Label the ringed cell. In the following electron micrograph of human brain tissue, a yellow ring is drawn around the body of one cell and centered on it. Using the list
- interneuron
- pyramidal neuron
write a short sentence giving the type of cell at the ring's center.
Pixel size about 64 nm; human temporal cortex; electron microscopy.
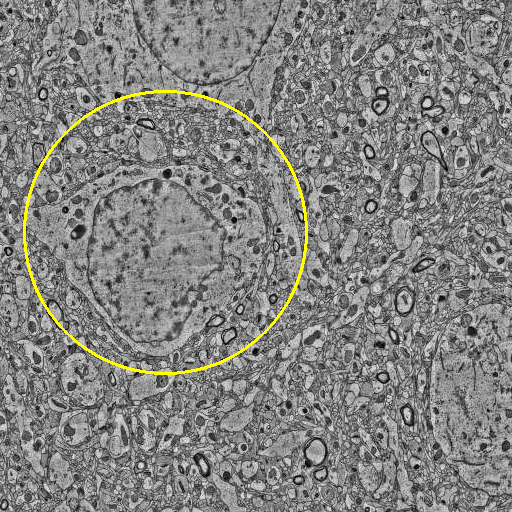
The cell body at the ring's center is that of an interneuron.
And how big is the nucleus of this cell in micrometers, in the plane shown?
In this plane, the nucleus is roughly 11 by 9 micrometres.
